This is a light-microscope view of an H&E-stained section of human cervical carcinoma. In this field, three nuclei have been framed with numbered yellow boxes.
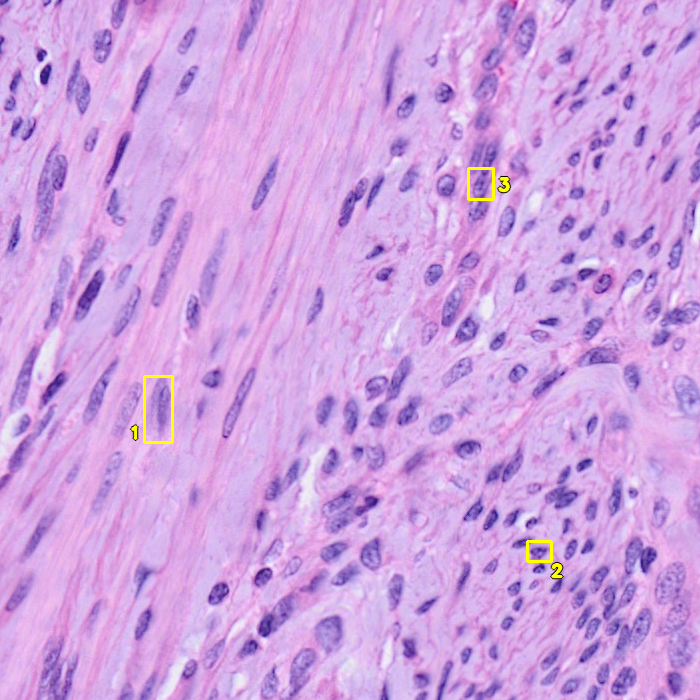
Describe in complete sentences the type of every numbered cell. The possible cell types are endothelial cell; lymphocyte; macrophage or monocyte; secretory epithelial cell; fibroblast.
Cells 1 and 2 are fibroblasts. Cell 3 is an endothelial cell.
